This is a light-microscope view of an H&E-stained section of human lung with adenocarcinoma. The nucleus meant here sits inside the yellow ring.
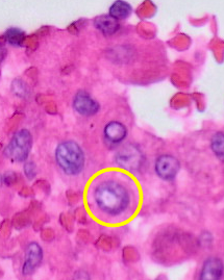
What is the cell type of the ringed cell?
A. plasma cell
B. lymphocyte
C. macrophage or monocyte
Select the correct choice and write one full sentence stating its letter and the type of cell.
The correct choice is option C; the ringed cell is a macrophage or monocyte.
